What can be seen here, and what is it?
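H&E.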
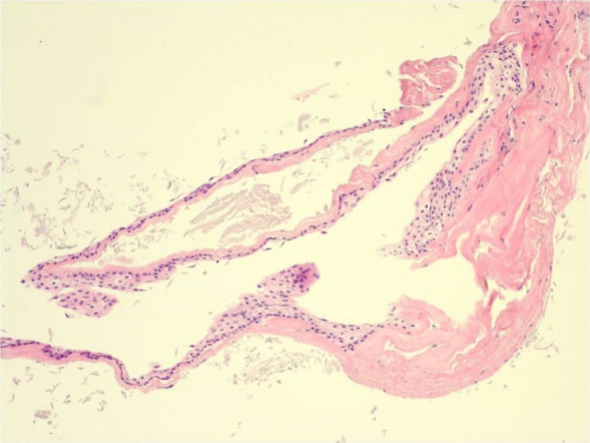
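This is the wall of a thin-walled cyst lined by stratified squamous epithelium. The lining is only a few cell layers thick, made of flattened cells whose dark, elongated nuclei run parallel to the surface, and it sits on a slender band of pink connective tissue. The cyst wall is folded, forming a narrow cleft-like lumen.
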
